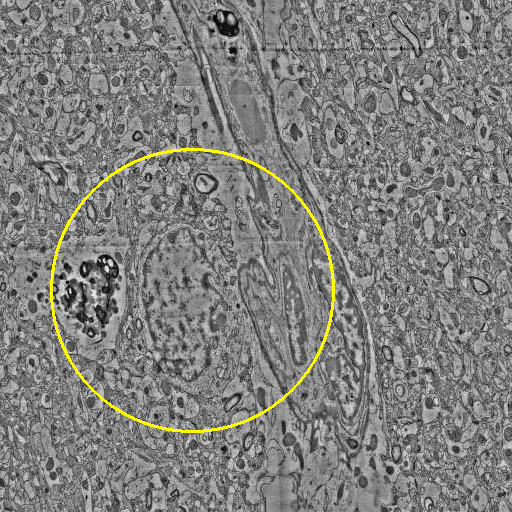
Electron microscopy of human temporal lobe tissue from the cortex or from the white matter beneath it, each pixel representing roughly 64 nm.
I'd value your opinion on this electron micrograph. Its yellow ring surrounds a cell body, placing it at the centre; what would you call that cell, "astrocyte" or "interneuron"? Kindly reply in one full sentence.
It is an interneuron that sits centred within the yellow ring in this micrograph.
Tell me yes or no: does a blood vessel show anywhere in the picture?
Yes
